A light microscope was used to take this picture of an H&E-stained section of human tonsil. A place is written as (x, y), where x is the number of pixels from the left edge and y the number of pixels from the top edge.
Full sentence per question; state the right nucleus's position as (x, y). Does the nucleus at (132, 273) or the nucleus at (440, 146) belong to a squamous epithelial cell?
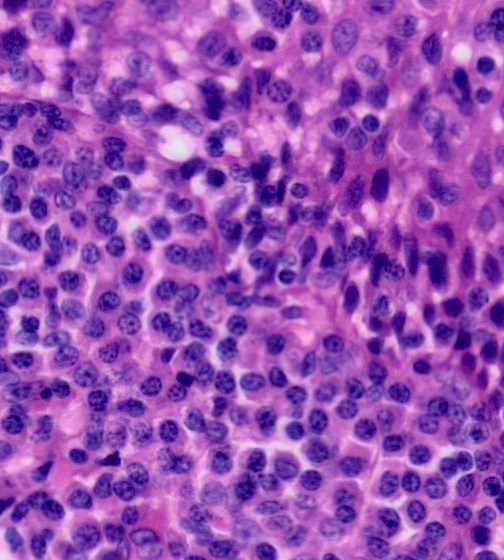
Of the pair, the nucleus located at (440, 146) belongs to a squamous epithelial cell.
